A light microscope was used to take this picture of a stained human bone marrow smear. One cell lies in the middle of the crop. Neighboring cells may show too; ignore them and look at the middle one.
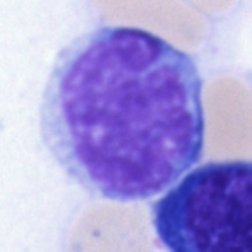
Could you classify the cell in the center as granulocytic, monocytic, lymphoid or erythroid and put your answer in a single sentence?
The cell that sits at the center is attributed to the monocytic lineage.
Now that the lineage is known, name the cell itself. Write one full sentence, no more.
The cell the crop is centered on is a monocyte.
